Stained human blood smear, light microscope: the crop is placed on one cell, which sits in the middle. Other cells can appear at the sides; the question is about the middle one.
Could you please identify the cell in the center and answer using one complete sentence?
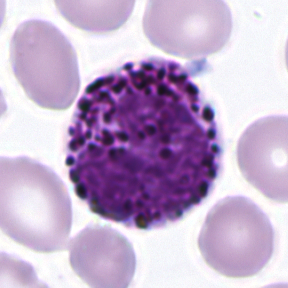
The cell in the exact centre of the crop is a basophil.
